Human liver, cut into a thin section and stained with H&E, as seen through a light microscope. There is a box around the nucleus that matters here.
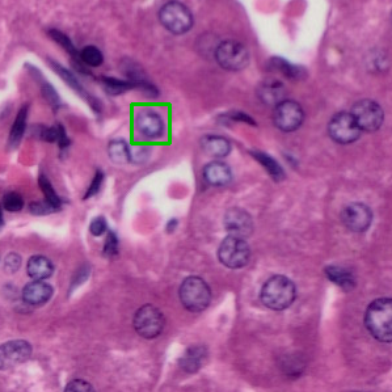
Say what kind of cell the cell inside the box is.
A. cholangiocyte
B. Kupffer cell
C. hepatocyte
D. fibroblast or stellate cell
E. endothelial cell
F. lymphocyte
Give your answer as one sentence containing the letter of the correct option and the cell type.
Under option A, the cell inside the box is a cholangiocyte, which is the correct identification.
